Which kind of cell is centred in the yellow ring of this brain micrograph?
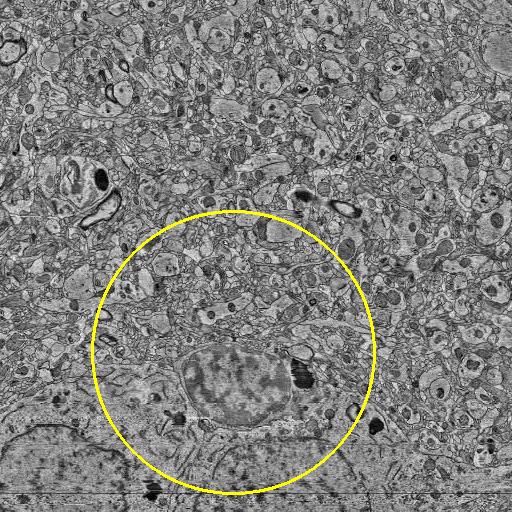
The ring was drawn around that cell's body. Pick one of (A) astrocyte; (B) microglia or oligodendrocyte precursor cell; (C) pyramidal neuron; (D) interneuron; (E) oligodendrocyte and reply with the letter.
E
